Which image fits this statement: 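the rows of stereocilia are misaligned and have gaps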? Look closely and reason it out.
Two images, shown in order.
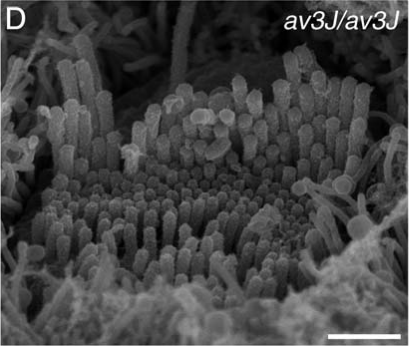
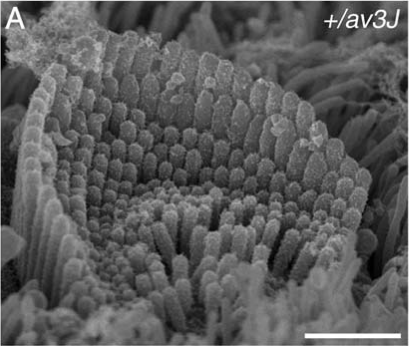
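First image: tall projections stand in irregular rows with gaps. Second image: tall projections stand in an even, curved, orderly row. The answer: the first image.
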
